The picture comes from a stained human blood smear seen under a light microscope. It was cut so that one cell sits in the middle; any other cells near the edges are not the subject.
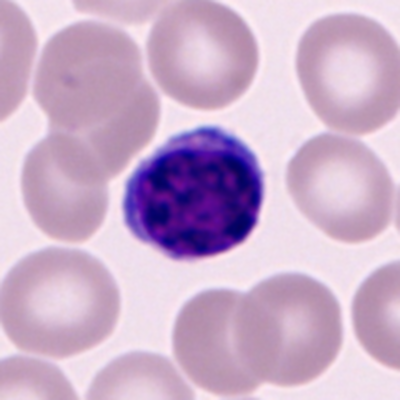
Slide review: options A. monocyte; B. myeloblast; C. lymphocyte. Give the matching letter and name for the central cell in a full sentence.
Option C is the correct one; it names the central cell as a lymphocyte.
